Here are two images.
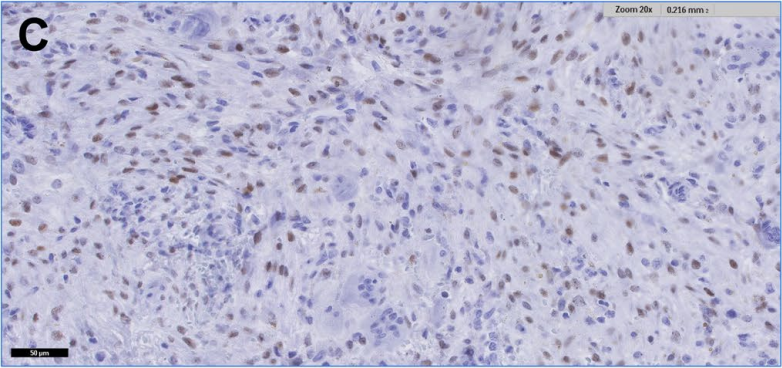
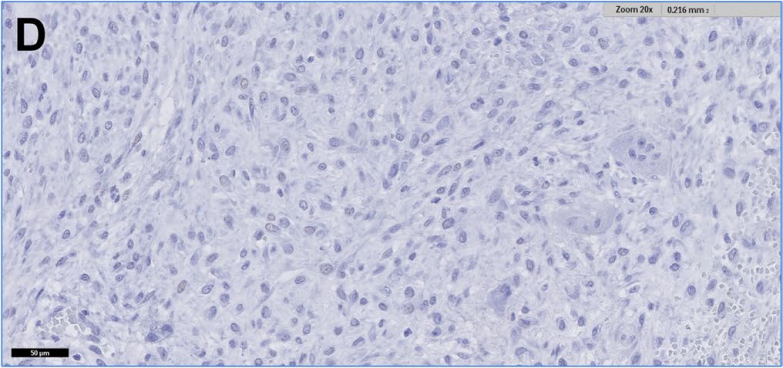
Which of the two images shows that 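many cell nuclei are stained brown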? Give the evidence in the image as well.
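Second image: all nuclei are blue, no brown staining is seen. First image: a large share of the spindle cell nuclei are brown.
Answer: the first image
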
